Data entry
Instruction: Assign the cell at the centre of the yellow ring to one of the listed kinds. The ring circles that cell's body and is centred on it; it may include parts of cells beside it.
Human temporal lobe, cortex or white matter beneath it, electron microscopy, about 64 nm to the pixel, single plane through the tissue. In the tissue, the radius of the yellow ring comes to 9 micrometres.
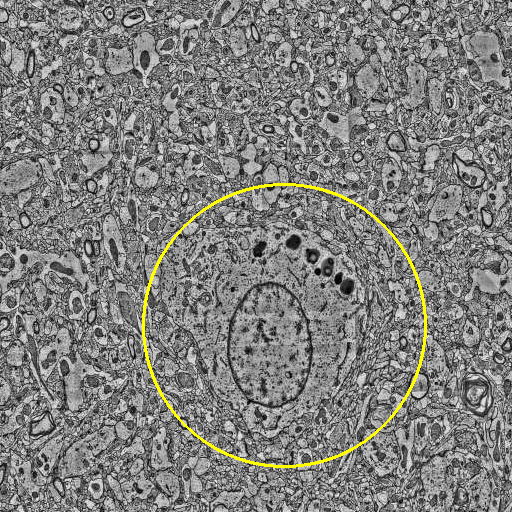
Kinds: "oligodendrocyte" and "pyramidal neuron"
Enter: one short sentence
The centre of the ring falls on a pyramidal neuron.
